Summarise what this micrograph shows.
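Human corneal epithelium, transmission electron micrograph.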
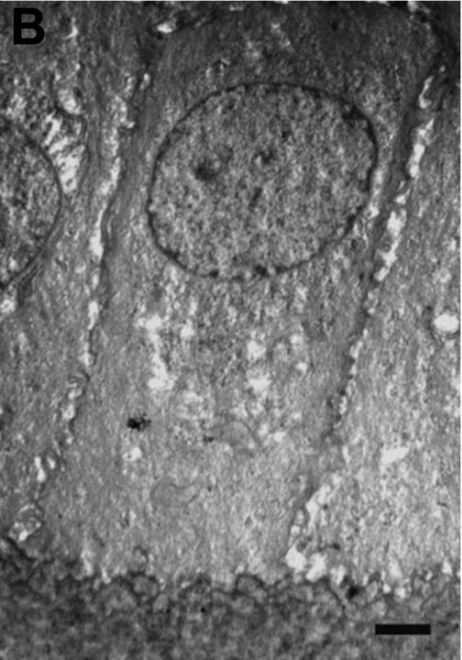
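The central cell is large and columnar, taller than wide, with its borders running vertically. Its nucleus is large, round to oval and smoothly outlined, lying in the upper part of the cell. The chromatin is diffuse and finely granular, without heavy dark clumps. Part of a neighbouring cell with a similar nucleus is seen at the left edge.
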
